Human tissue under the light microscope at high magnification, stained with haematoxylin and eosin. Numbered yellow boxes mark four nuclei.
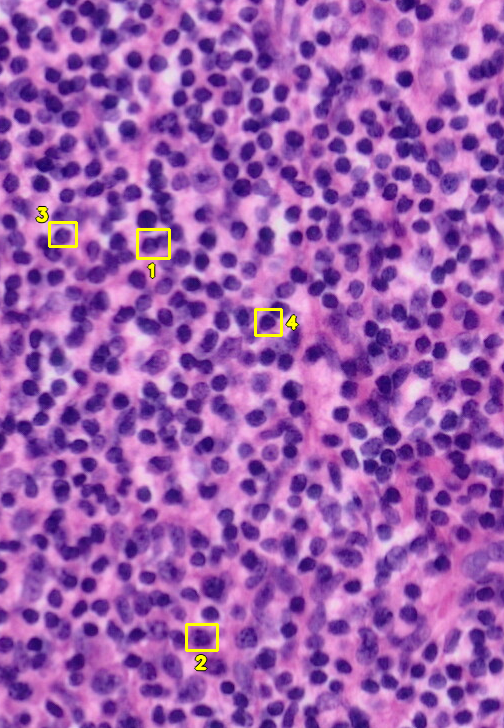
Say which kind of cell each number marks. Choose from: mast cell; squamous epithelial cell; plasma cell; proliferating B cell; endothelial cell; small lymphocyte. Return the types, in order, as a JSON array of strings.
["small lymphocyte", "plasma cell", "small lymphocyte", "small lymphocyte"]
